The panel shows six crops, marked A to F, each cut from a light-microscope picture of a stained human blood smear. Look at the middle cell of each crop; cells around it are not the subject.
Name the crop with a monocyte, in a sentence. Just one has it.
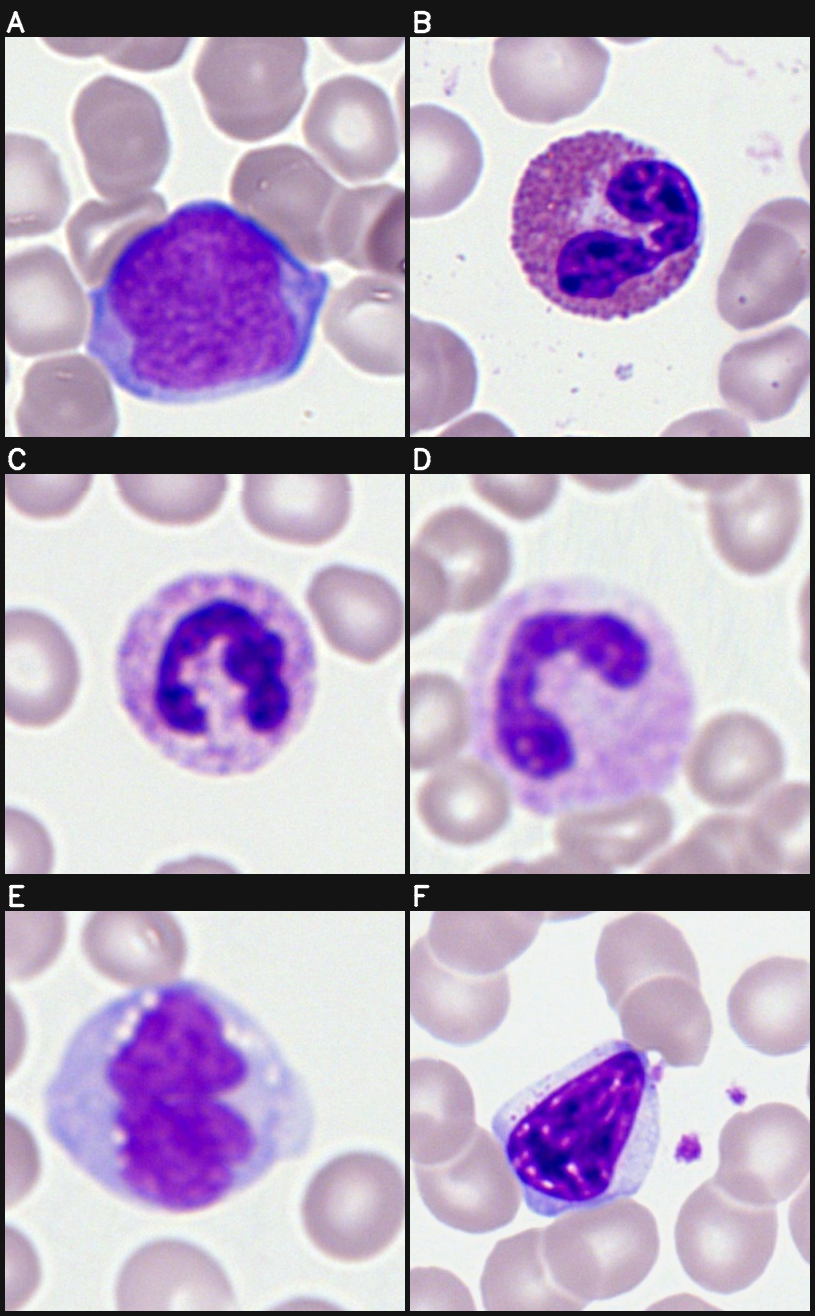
The crop bearing a monocyte is crop E.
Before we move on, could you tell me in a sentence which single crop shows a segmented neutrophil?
The cell at the center of crop C is the one that is a segmented neutrophil.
